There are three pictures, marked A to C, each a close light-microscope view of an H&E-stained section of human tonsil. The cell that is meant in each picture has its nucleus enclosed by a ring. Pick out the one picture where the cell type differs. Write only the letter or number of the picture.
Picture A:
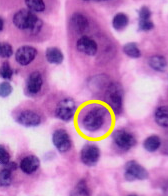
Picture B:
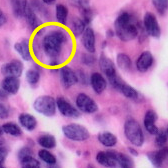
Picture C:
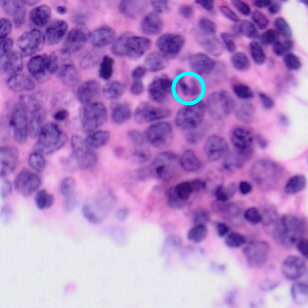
A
